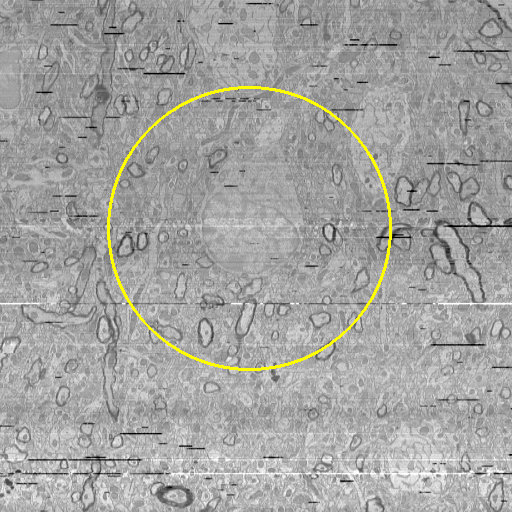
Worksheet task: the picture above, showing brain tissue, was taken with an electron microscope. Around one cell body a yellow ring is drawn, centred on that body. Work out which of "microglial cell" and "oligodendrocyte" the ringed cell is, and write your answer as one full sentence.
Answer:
It is an oligodendrocyte whose cell body lies at the centre of the yellow ring.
